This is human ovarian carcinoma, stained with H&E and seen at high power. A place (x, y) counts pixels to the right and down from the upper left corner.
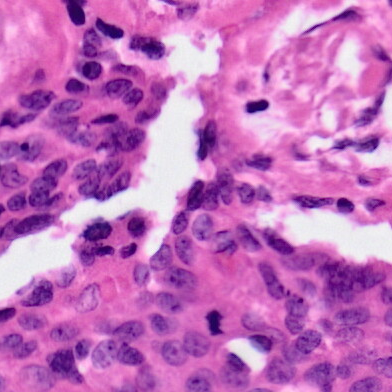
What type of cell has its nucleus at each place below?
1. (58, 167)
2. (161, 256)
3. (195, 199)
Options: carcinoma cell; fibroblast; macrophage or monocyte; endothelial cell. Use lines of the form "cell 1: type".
cell 1: macrophage or monocyte
cell 2: carcinoma cell
cell 3: carcinoma cell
